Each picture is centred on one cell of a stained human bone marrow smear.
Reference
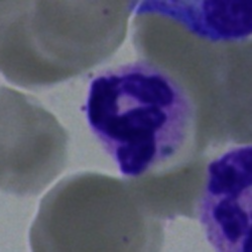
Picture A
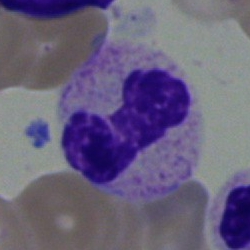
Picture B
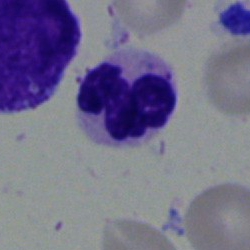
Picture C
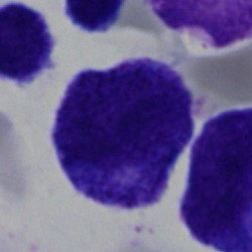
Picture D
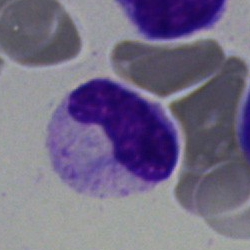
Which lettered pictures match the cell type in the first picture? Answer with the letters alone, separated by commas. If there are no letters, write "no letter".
A, B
